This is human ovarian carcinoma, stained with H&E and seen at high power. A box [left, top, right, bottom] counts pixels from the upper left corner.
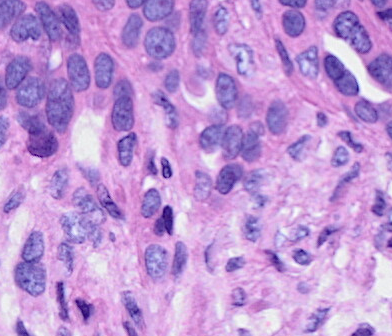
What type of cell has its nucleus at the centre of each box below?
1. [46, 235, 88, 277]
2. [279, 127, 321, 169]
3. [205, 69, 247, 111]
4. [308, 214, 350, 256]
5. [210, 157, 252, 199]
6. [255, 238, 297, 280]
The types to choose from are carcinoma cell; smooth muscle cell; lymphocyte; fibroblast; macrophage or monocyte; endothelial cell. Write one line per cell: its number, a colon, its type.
1: fibroblast
2: fibroblast
3: carcinoma cell
4: fibroblast
5: carcinoma cell
6: fibroblast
